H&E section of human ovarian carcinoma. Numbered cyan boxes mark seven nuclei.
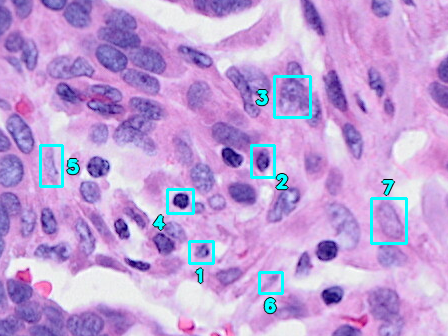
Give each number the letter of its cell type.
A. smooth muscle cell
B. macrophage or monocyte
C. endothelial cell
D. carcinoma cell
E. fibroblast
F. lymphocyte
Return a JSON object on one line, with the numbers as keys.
{"1": "F", "2": "F", "3": "E", "4": "F", "5": "E", "6": "E", "7": "E"}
